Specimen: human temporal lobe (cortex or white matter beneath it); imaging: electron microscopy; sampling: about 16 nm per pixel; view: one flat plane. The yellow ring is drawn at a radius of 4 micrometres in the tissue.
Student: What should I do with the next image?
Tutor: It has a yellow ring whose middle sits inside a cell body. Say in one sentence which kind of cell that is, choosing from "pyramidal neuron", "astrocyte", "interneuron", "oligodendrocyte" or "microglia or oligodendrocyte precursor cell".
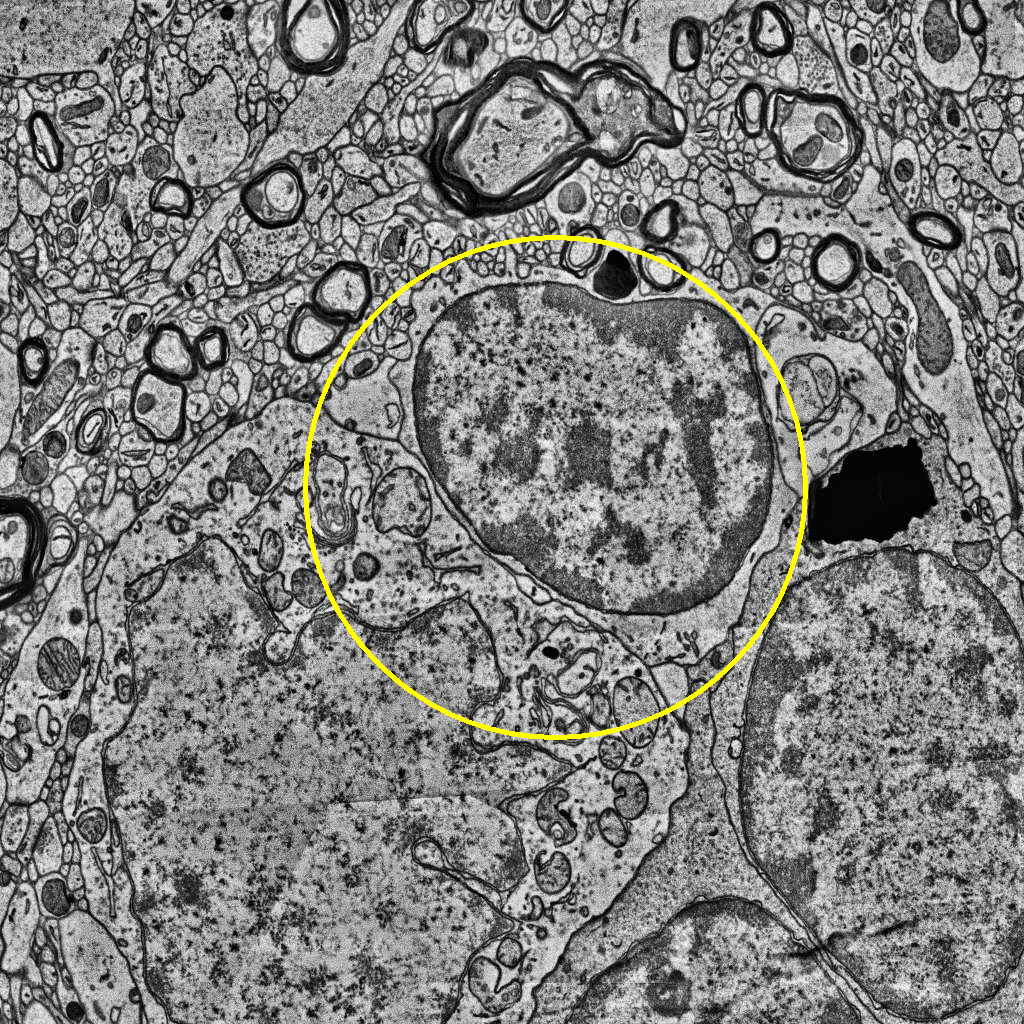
The ring's centre is occupied by a microglial cell or oligodendrocyte precursor cell.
